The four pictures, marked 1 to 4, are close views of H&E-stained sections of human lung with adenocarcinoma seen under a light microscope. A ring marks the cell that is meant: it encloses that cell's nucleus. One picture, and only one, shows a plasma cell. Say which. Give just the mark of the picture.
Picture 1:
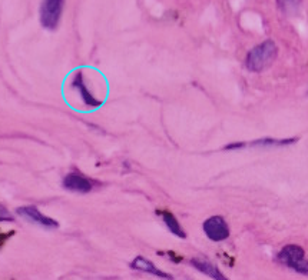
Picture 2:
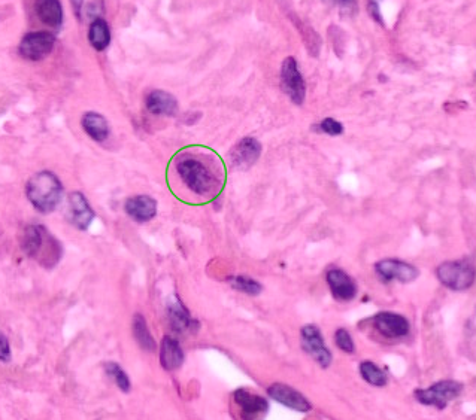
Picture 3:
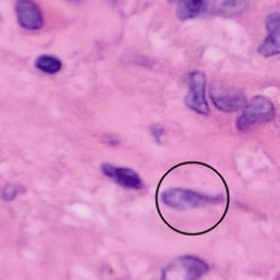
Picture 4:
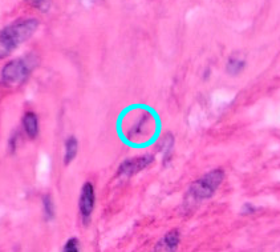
2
